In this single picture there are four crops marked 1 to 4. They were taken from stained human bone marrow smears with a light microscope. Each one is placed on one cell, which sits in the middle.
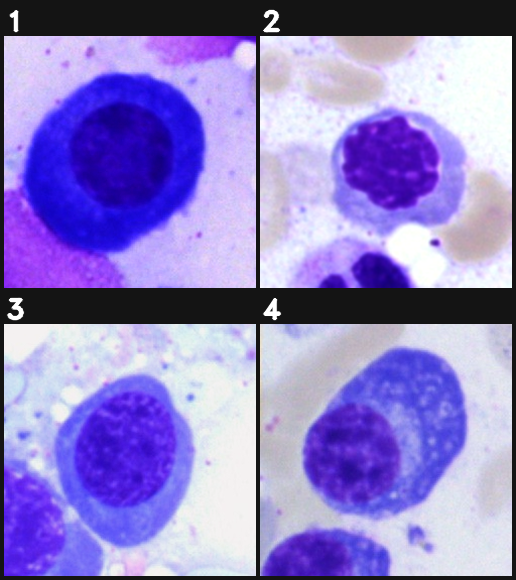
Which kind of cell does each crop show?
1: plasma cell
2: normoblast
3: normoblast
4: plasma cell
